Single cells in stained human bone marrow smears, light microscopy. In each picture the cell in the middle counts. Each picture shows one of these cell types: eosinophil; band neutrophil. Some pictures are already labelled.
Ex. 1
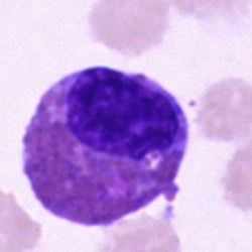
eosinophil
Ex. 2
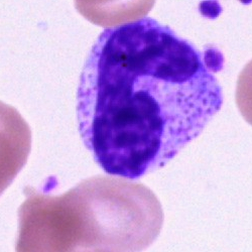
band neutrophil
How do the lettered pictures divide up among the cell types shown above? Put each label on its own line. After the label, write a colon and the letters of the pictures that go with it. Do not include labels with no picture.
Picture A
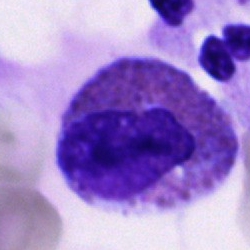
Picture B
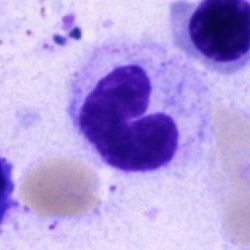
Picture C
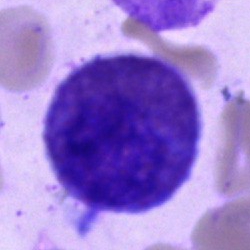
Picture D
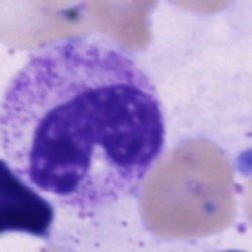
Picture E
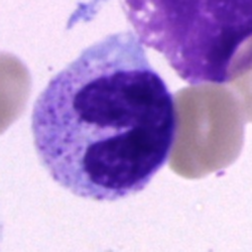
eosinophil: A, C
band neutrophil: B, D, E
